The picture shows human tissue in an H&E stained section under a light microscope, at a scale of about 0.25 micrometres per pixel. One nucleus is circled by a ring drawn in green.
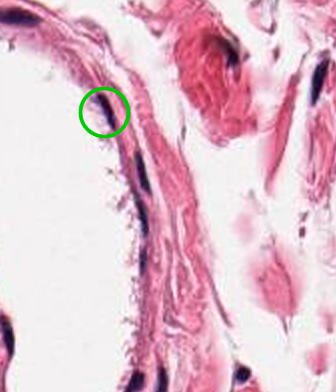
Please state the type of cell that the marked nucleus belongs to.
endothelial cell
